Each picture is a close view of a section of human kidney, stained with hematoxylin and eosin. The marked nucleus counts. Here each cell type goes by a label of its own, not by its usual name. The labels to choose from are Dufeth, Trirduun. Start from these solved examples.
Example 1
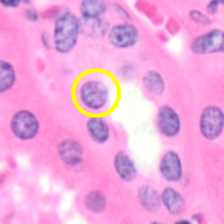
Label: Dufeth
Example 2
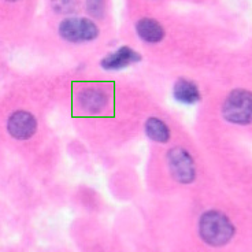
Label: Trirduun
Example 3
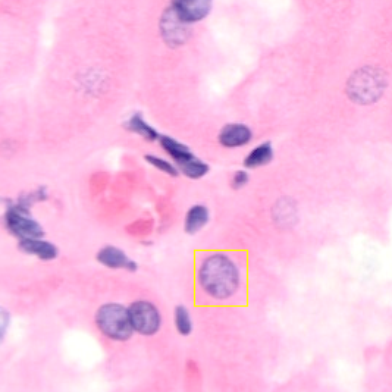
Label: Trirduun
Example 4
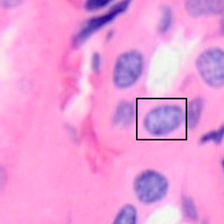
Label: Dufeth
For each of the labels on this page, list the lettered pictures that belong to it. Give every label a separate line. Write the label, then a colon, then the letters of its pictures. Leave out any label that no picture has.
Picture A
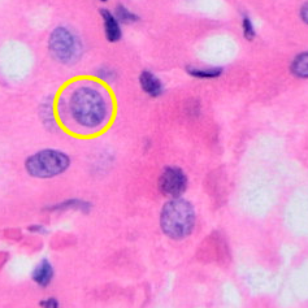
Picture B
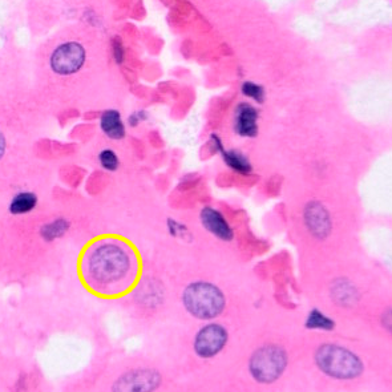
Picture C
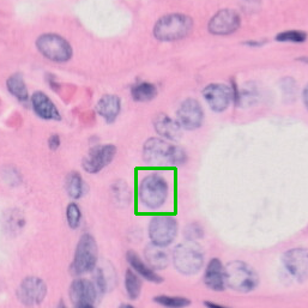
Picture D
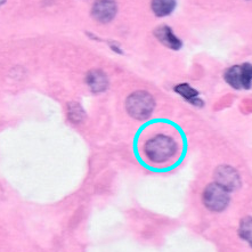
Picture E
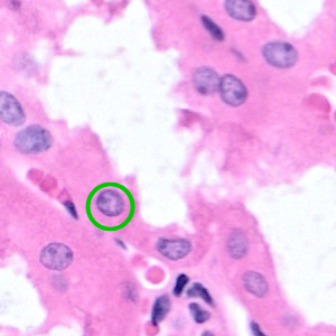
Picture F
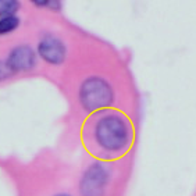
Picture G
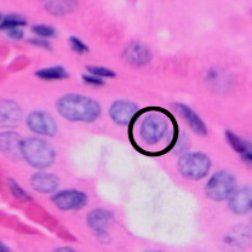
Dufeth: C, F, G
Trirduun: A, B, D, E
